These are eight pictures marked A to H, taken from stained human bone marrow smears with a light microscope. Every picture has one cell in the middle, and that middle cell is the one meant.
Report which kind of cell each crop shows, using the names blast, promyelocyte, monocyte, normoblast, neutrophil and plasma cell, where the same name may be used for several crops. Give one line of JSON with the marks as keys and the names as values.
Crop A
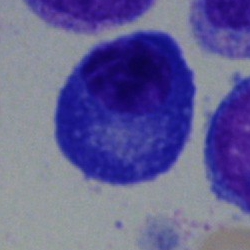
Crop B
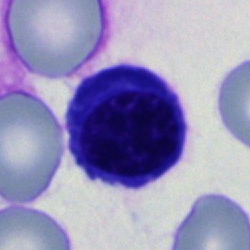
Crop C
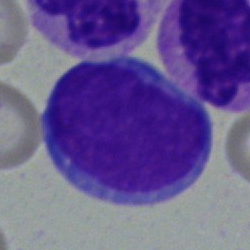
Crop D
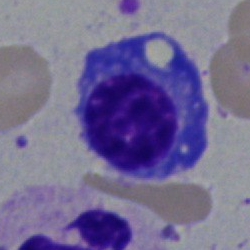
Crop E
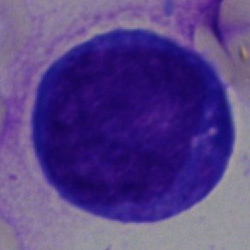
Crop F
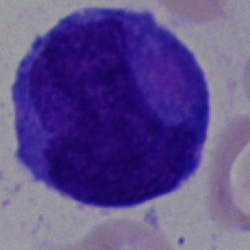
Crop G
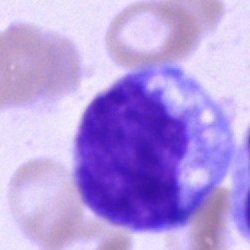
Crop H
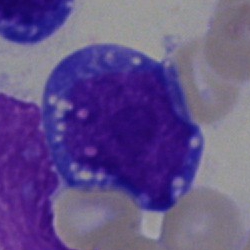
{"A": "plasma cell", "B": "normoblast", "C": "blast", "D": "plasma cell", "E": "blast", "F": "blast", "G": "monocyte", "H": "blast"}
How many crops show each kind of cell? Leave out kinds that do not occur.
blast: 4
plasma cell: 2
normoblast: 1
monocyte: 1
